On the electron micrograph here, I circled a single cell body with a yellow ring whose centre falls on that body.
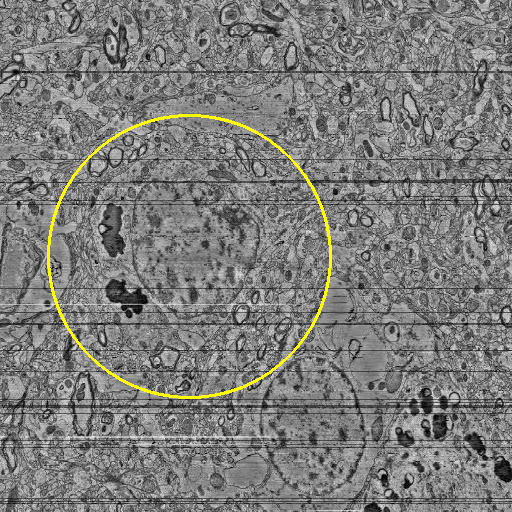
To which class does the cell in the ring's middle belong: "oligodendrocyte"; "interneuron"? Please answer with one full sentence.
In this picture, the cell body circled at the ring's centre belongs to an interneuron.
